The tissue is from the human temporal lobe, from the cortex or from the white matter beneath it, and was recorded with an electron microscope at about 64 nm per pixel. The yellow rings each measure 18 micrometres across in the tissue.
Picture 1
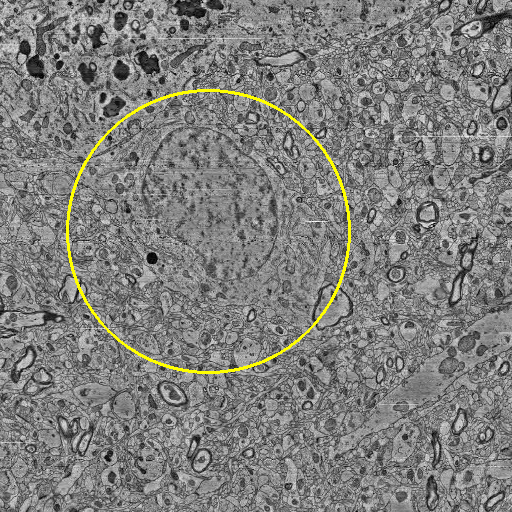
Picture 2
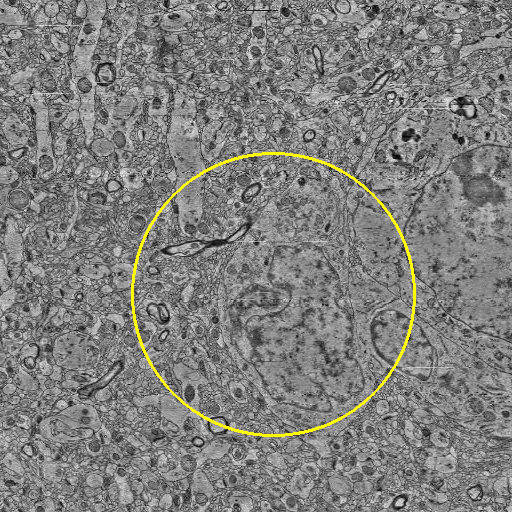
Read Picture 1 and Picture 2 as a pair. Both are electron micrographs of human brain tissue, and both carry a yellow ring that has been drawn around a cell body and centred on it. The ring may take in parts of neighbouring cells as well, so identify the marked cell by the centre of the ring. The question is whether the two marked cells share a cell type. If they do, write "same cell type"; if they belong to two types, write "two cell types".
same cell type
